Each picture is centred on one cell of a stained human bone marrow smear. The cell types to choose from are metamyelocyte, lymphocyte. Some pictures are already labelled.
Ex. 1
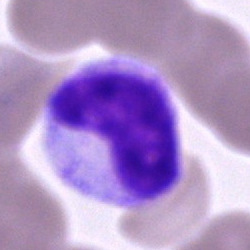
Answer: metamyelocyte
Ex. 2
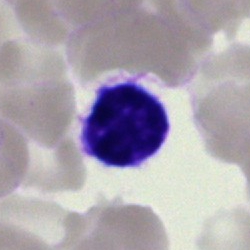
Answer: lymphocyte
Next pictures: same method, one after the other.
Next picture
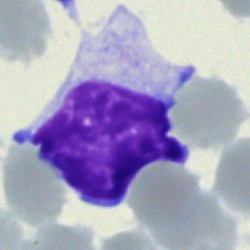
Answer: lymphocyte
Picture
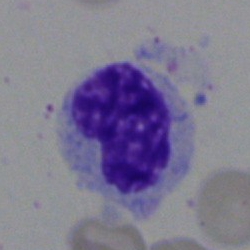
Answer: metamyelocyte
